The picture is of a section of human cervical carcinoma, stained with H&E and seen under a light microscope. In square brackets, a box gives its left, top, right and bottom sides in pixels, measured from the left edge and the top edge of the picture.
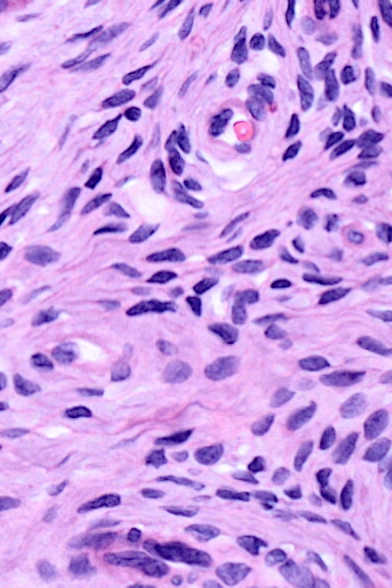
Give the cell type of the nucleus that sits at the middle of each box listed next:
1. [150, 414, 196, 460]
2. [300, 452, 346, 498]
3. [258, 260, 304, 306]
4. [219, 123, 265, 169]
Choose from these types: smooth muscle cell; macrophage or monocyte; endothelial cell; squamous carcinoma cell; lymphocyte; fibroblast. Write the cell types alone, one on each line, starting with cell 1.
fibroblast
fibroblast
fibroblast
endothelial cell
